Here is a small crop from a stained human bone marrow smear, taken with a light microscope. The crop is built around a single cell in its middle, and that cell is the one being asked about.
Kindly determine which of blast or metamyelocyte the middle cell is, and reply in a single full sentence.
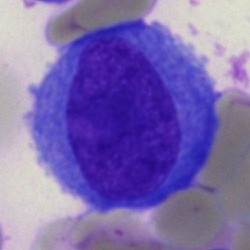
The cell at the middle of the crop is recognized as a blast.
